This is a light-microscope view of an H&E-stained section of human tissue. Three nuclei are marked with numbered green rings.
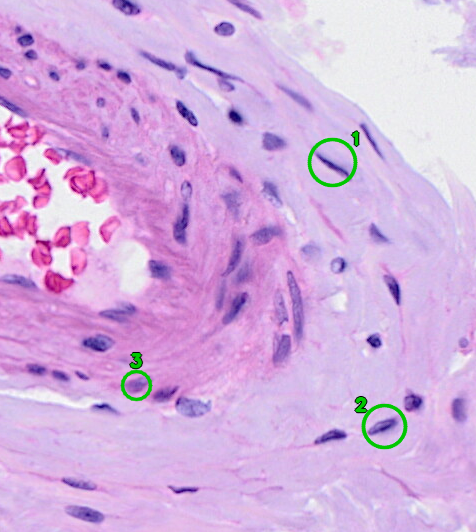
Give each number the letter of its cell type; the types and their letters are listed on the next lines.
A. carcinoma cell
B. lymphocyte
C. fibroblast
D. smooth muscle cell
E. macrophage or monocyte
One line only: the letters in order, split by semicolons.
C; C; D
